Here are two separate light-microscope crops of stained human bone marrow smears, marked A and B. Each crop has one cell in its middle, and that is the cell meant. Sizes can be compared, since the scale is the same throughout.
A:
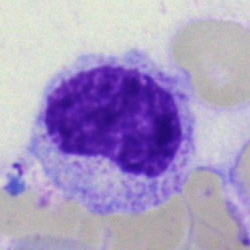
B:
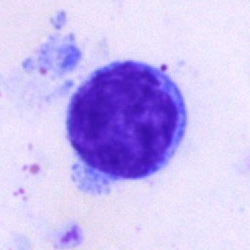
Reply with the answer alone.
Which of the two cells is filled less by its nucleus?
A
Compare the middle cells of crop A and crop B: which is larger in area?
A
